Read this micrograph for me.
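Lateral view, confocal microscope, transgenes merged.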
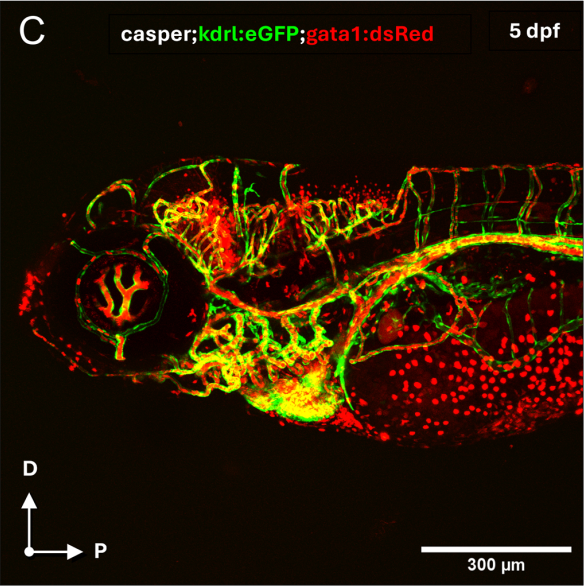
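A dense branched network of green tubular blood vessels fills the head and anterior trunk. Regularly spaced vertical vessels run along the dorsal trunk above a thick longitudinal vessel. Small round red erythrocytes lie within and along the vessels, where the overlap appears yellow, and many separate red cells are scattered over the ventral region. Within the circular eye, a branched vessel filled with red cells is visible.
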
